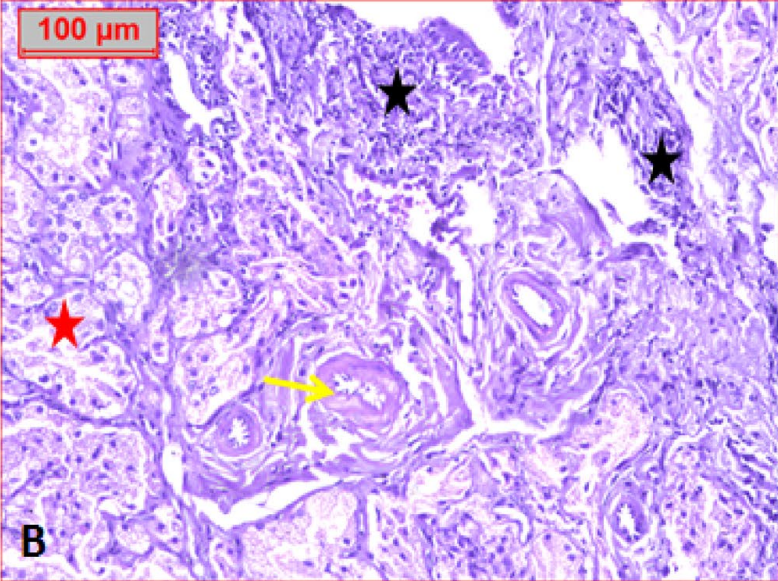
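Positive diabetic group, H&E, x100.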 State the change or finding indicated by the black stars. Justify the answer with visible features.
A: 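The starred areas hold dense clusters of small, dark-staining nuclei. The clusters lie in tissue between the structures, not within tubules.
Answer: inflammatory cell infiltrate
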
